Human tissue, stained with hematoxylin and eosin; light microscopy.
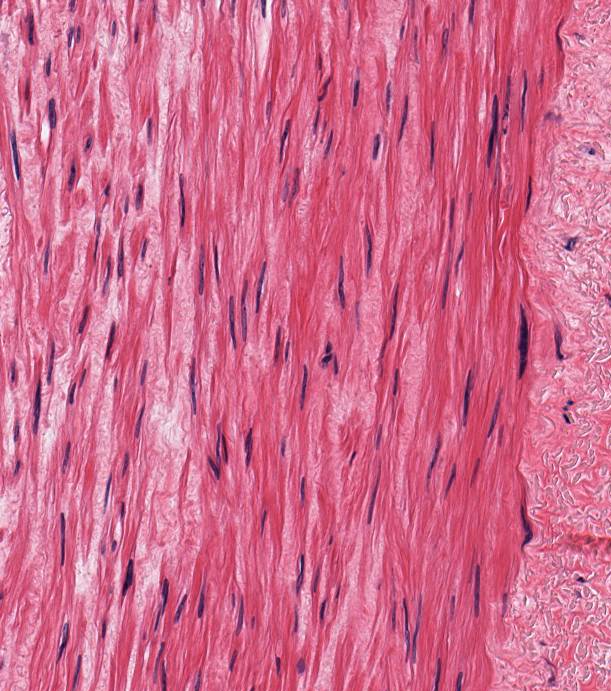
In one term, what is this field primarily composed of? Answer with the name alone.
tunica media of an artery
